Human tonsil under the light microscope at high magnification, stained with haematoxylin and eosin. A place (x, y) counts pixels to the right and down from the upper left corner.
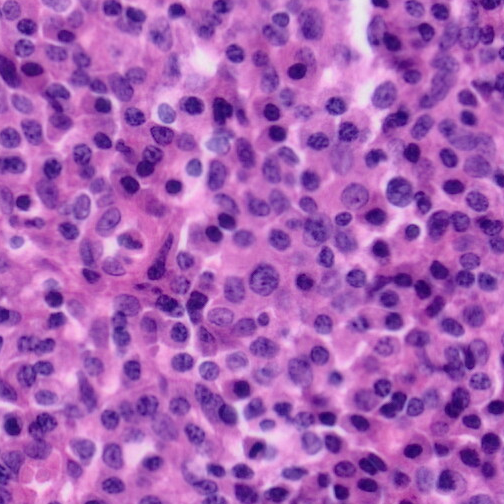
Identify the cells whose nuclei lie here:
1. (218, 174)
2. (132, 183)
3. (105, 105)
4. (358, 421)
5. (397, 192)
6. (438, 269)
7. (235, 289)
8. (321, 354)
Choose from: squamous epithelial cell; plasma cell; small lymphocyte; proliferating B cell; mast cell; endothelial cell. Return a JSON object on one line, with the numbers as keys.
{"1": "squamous epithelial cell", "2": "plasma cell", "3": "plasma cell", "4": "plasma cell", "5": "squamous epithelial cell", "6": "plasma cell", "7": "squamous epithelial cell", "8": "plasma cell"}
